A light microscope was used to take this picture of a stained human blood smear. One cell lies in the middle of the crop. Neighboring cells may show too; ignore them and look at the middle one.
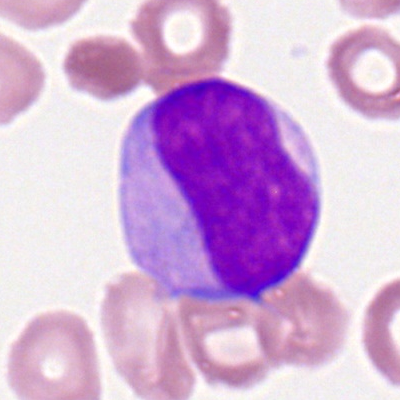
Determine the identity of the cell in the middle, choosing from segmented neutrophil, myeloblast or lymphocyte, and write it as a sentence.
The cell in the middle of the field of view is a myeloblast.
